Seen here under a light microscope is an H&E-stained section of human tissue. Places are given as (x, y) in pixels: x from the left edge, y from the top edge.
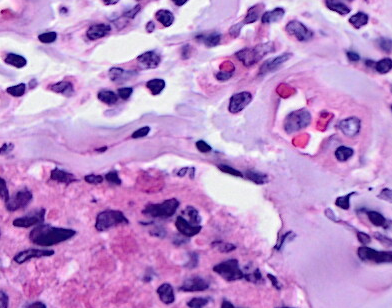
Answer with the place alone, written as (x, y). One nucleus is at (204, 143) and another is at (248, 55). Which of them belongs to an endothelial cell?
(248, 55)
